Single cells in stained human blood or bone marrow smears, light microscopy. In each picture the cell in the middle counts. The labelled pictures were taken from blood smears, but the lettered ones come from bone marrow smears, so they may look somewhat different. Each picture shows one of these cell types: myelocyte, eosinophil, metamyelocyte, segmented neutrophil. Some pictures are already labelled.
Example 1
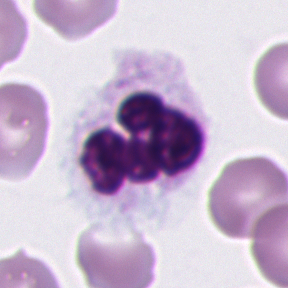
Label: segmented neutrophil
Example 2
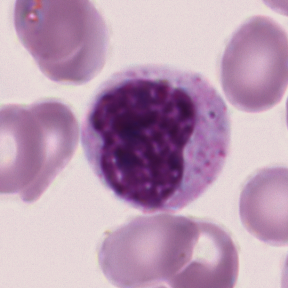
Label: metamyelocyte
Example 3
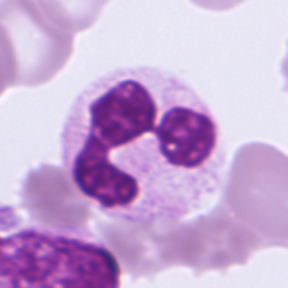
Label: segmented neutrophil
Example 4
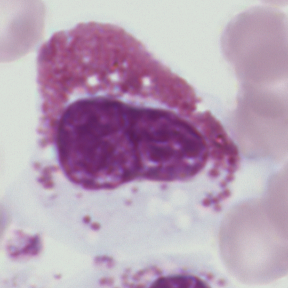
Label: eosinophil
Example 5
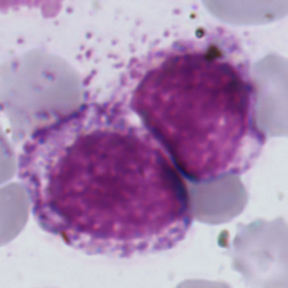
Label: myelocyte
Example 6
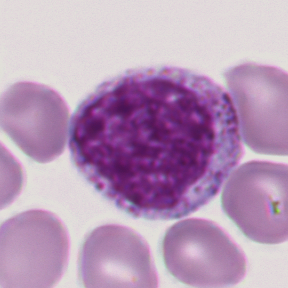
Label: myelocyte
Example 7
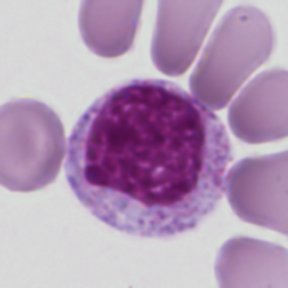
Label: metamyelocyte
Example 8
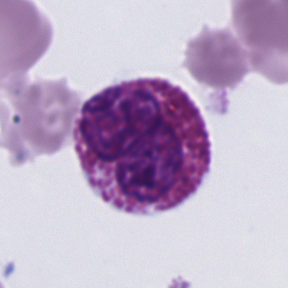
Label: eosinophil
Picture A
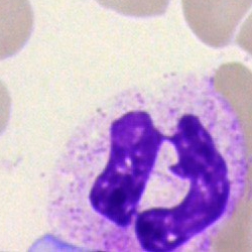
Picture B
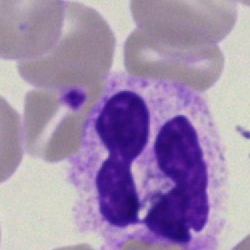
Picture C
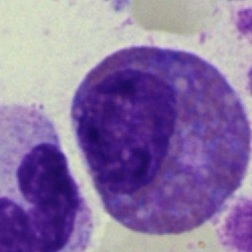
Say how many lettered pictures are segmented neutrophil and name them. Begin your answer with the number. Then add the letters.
Count: 2 (A, B)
